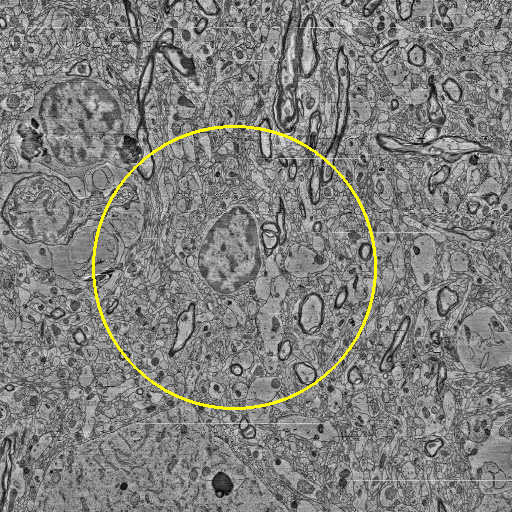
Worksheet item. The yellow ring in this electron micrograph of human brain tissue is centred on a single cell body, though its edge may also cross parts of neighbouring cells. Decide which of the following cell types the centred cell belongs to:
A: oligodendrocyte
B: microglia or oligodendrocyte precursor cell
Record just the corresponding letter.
B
